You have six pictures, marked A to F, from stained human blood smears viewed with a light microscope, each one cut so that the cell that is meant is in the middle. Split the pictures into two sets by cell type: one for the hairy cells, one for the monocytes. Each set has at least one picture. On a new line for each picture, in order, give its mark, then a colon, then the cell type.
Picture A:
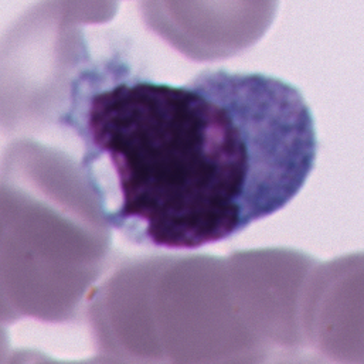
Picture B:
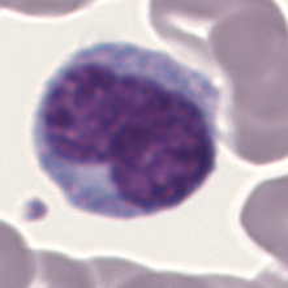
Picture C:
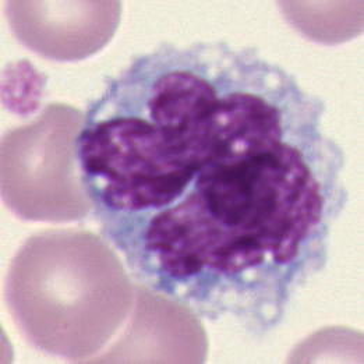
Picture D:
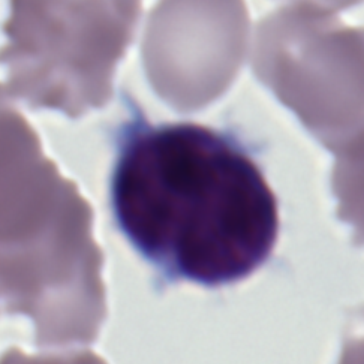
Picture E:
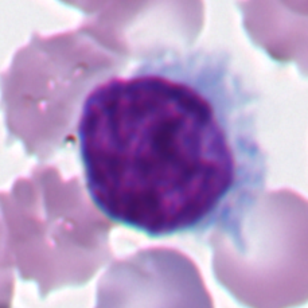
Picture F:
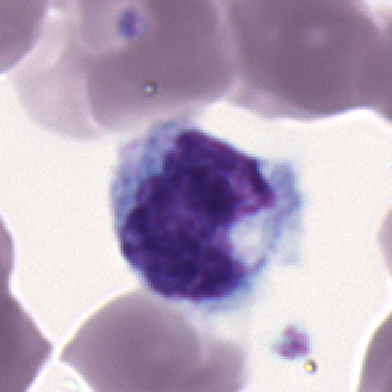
A: monocyte
B: monocyte
C: monocyte
D: hairy cell
E: hairy cell
F: monocyte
